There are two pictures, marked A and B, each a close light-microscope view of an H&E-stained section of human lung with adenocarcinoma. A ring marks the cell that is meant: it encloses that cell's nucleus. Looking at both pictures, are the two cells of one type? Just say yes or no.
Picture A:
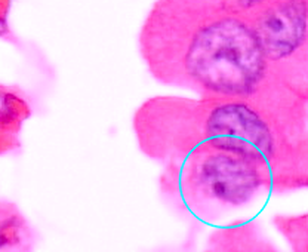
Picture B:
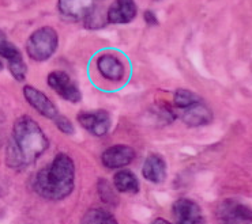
no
